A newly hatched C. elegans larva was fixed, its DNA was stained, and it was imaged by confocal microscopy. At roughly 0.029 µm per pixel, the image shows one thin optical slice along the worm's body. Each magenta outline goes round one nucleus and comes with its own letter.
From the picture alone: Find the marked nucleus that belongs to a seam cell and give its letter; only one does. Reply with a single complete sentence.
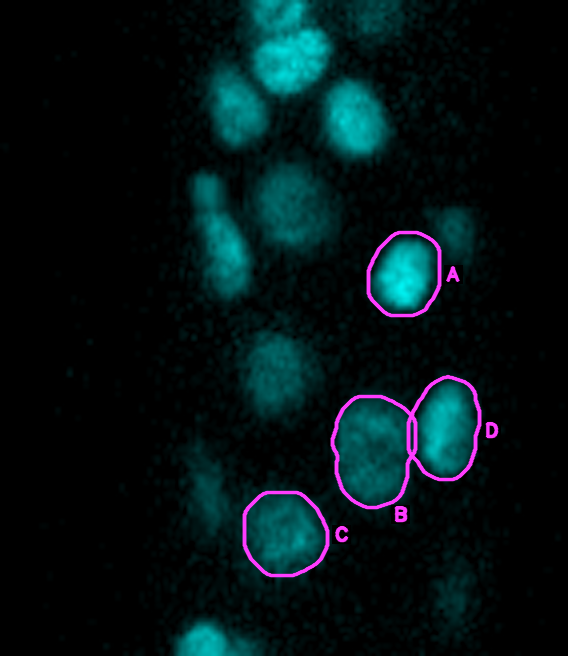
Of the marked nuclei, C is the one in a seam cell.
